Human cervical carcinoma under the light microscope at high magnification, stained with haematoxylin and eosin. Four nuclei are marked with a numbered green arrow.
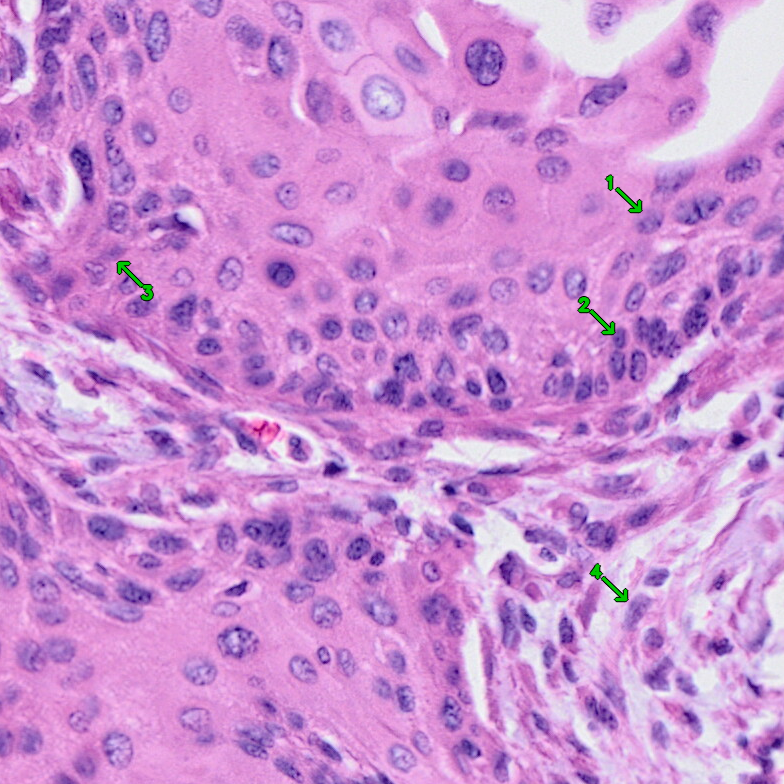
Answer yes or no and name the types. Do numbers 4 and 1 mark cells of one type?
No, a fibroblast is what cell 4 is, and a squamous carcinoma cell is what cell 1 is.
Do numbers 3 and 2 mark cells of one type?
Yes, the cell labelled 3 and the cell labelled 2 are both squamous carcinoma cells.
